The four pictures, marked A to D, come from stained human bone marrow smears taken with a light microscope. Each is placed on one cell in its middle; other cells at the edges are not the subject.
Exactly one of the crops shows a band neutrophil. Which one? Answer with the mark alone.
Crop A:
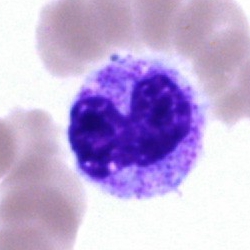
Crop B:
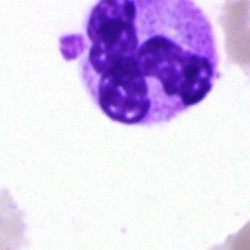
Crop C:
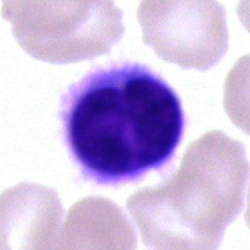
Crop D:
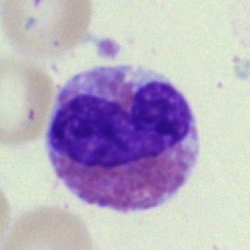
A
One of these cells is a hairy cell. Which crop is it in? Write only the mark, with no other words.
C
